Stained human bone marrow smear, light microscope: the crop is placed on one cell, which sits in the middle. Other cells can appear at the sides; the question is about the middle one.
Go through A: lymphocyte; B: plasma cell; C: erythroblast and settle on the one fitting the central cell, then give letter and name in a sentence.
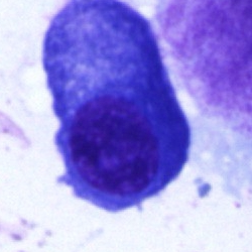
In this crop the middle cell is a plasma cell, so option B is the correct answer.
